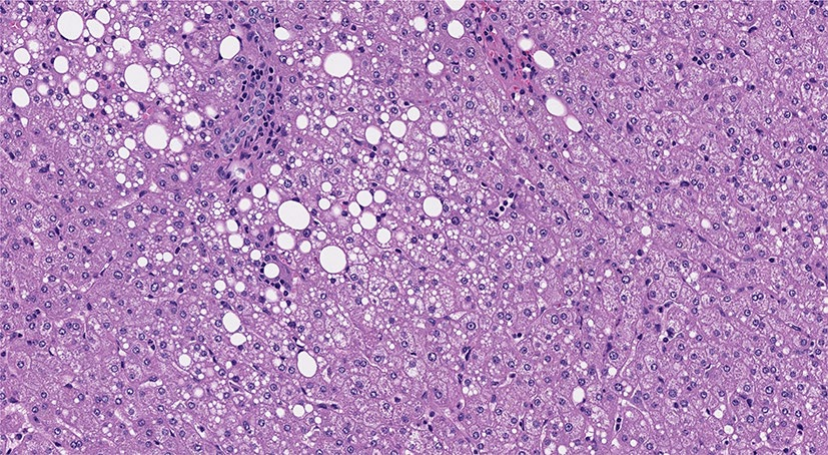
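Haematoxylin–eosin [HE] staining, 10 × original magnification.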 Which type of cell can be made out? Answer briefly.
Hepatocytes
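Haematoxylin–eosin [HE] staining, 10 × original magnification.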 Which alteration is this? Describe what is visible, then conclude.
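Many cells contain round, clear, empty-looking vacuoles. The vacuoles range from tiny droplets to large vacuoles filling much of a cell. The vacuoles are grouped mostly in the upper left part of the field.
Conclusion: steatosis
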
